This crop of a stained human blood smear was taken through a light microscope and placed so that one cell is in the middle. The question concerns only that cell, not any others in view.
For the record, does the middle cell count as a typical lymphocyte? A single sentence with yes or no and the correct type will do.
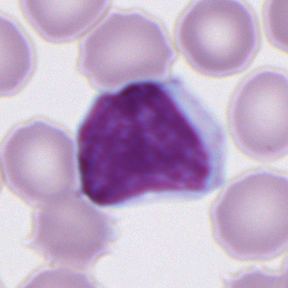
Yes, the cell sitting in the middle of this smear crop is a typical lymphocyte.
